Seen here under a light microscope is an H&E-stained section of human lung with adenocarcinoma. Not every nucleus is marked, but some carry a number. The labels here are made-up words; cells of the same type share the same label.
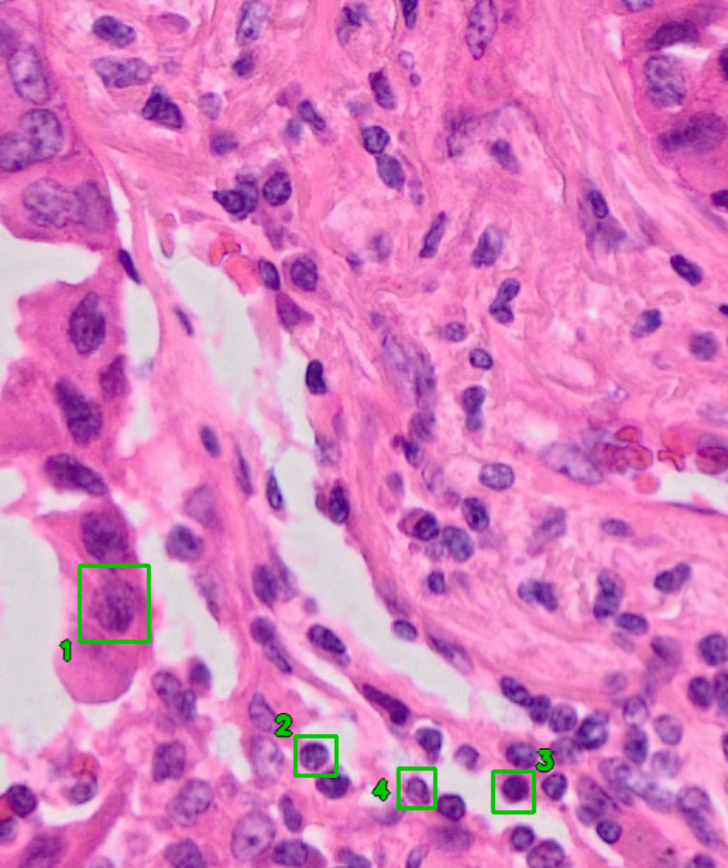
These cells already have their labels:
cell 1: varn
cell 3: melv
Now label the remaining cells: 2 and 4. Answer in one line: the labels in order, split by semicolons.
melv; melv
